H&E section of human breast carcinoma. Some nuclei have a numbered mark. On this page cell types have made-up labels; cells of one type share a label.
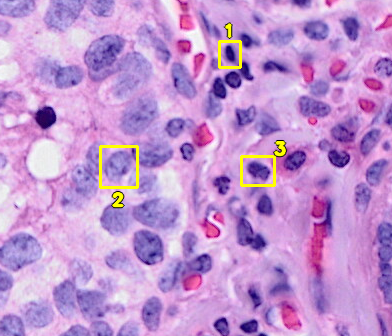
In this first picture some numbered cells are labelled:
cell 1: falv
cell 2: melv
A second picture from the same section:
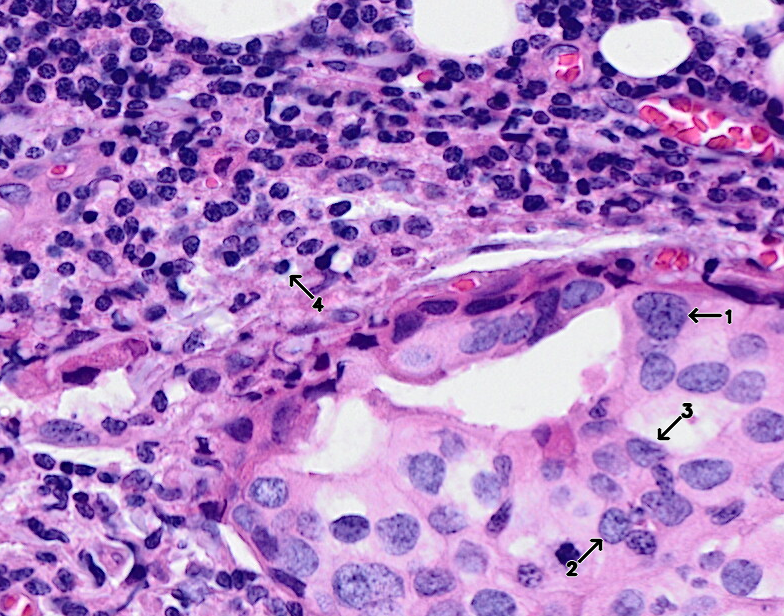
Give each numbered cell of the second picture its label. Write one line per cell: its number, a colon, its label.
1: melv
2: melv
3: melv
4: falv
